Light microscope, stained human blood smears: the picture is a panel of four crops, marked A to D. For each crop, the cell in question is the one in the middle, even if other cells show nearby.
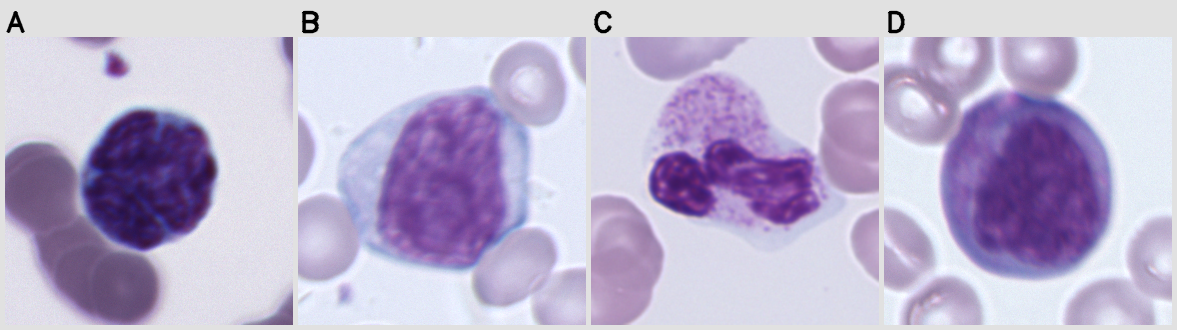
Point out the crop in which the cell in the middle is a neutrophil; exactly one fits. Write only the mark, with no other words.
C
